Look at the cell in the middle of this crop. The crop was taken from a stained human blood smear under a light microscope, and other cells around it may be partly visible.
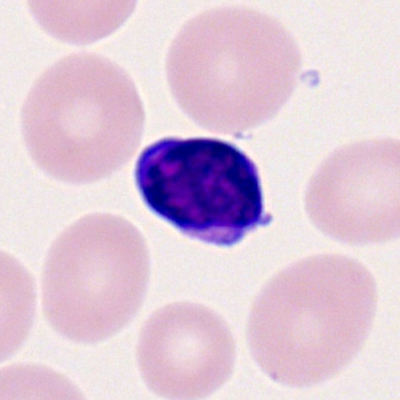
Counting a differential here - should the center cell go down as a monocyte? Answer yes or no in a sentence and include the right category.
No, it is a lymphocyte that sits in the middle, not a monocyte.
